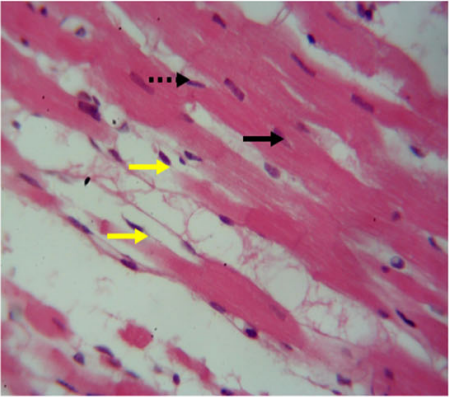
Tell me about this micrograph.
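This is cardiac muscle with myocytes cut along their length, stained pink with purple nuclei. The oval myocyte nuclei lie centrally within the fibers, while smaller, darker, flattened nuclei sit at the edges of the spaces between fibers. Wide pale gaps separate many of the fibers, and fine wispy pink strands cross these spaces. Several fibers look broken up and detached from their neighbours rather than forming a continuous compact sheet. The overall architecture is loosened compared with closely packed heart muscle.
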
